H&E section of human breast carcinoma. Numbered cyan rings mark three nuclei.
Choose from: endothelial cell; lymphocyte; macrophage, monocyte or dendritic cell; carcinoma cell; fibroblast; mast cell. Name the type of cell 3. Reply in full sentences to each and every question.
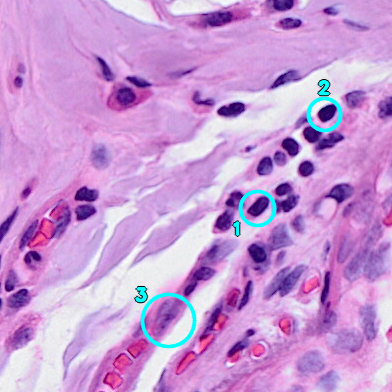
Nucleus 3 in this section belongs to an endothelial cell.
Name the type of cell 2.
Looking at the numbered marks, cell 2 is a lymphocyte.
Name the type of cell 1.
The one labeled 1 is a lymphocyte, to put it simply.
